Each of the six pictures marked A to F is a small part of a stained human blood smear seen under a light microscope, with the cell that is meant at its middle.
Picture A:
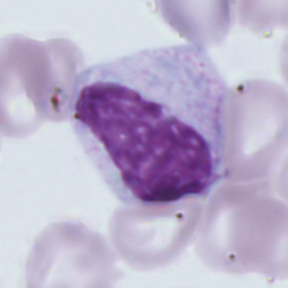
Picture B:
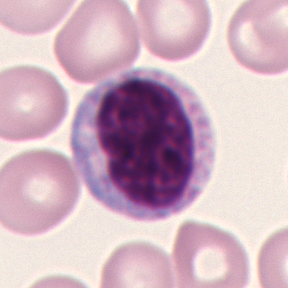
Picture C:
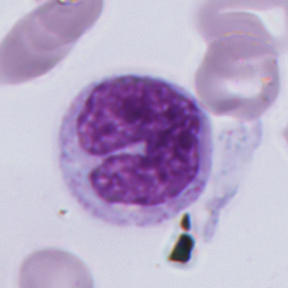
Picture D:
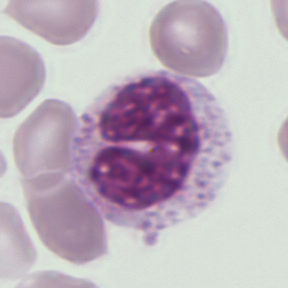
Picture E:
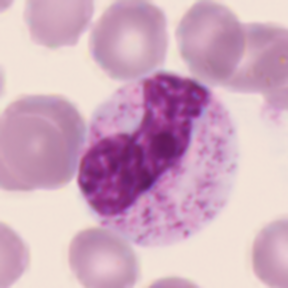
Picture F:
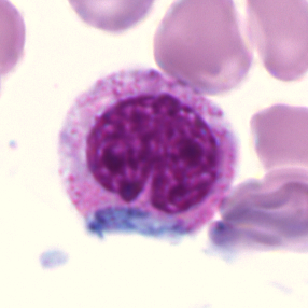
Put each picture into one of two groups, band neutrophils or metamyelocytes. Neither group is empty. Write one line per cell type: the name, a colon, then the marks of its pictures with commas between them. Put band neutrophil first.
band neutrophil: C, D, E, F
metamyelocyte: A, B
